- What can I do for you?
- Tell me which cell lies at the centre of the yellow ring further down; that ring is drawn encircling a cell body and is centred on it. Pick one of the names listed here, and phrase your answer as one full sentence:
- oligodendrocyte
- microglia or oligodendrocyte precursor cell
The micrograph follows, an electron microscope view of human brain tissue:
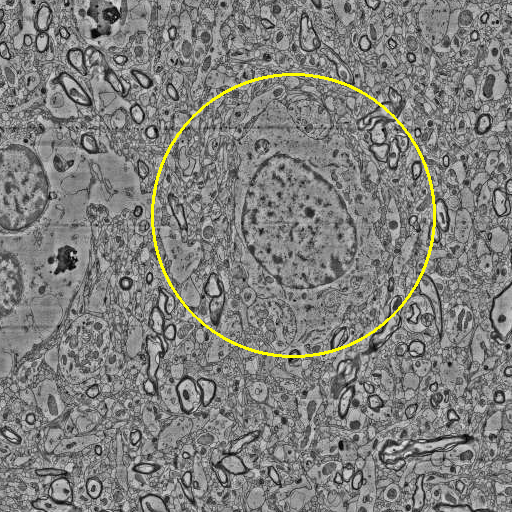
The cell whose body lies at the centre of the yellow ring is a microglial cell or oligodendrocyte precursor cell.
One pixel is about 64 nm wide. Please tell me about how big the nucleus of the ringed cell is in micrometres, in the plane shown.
In this plane, the nucleus of the cell at the centre of the ring measures about 9 by 7 micrometres.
